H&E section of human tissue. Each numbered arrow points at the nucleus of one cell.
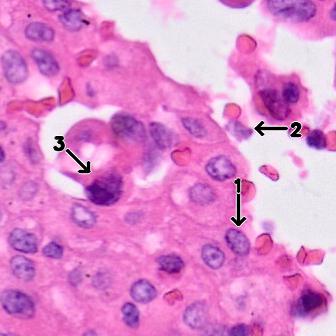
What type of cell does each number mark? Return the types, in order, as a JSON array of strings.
["macrophage or monocyte", "macrophage or monocyte", "carcinoma cell"]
